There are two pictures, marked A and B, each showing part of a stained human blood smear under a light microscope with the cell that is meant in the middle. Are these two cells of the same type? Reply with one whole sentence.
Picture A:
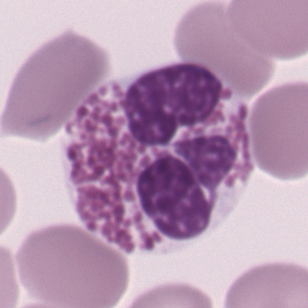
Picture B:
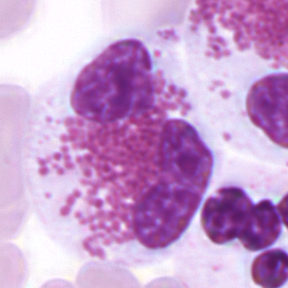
Yes, both cells are eosinophils.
